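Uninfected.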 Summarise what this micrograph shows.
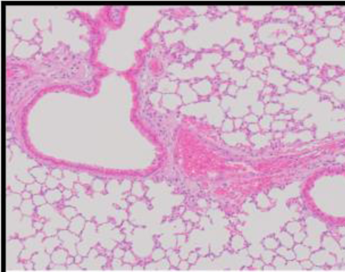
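Normal lung tissue stained pink and purple. Most of the field is made of open, thin-walled alveoli forming a fine lace-like network of pale air spaces. The alveolar walls are delicate, with scattered purple nuclei, and there is no dense accumulation of cells in the air spaces or around the airways and vessel.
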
